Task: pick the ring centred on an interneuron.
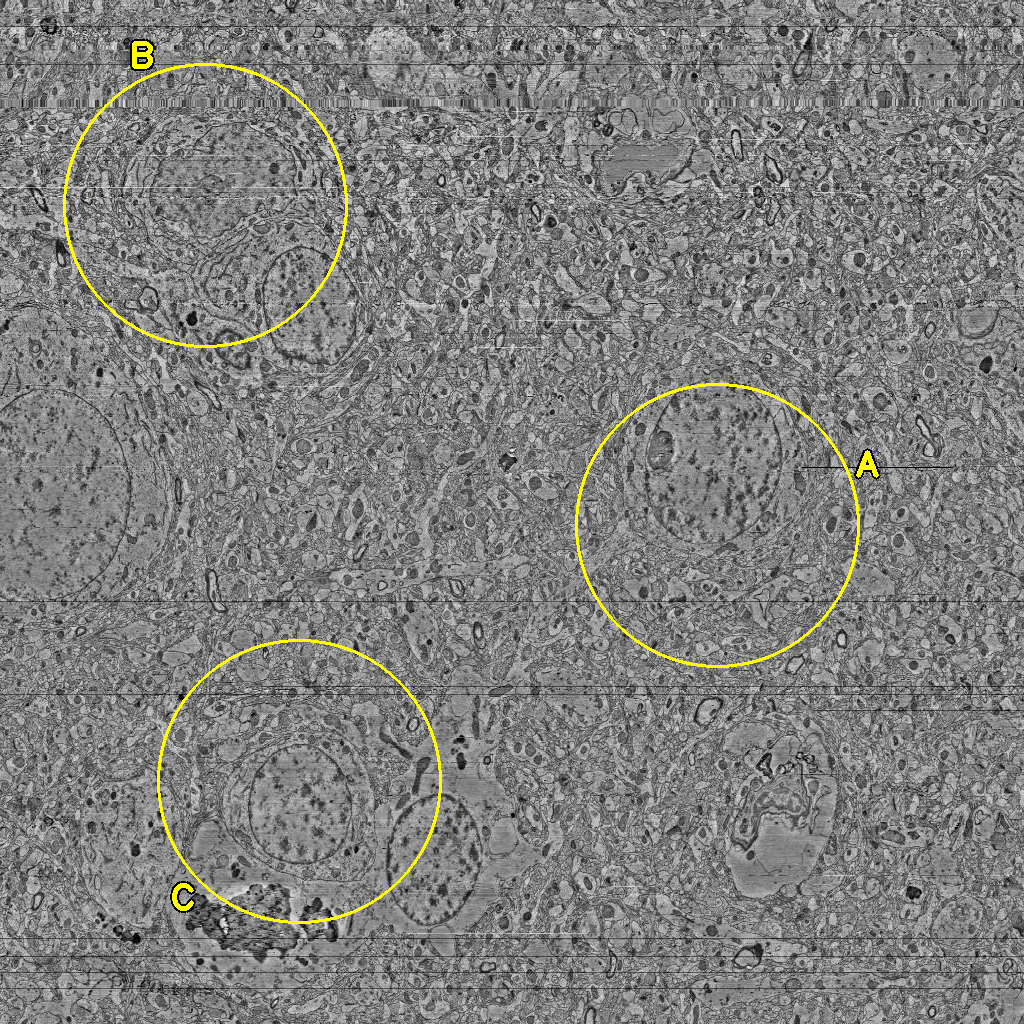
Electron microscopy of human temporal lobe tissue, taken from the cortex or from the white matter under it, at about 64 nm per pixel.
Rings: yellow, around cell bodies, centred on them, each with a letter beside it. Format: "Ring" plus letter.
Ring B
